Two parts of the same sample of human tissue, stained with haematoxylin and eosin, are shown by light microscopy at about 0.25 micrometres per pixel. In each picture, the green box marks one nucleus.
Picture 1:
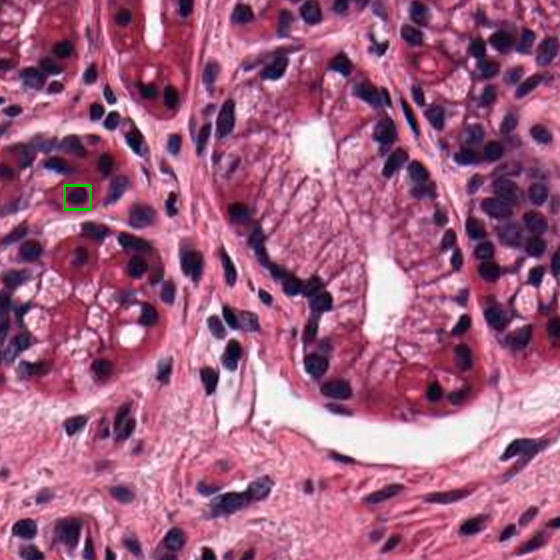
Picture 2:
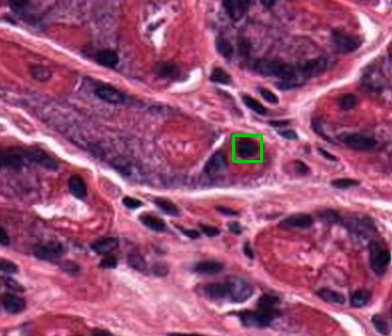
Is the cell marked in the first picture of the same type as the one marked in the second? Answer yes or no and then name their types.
Yes, both are parietal cells.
